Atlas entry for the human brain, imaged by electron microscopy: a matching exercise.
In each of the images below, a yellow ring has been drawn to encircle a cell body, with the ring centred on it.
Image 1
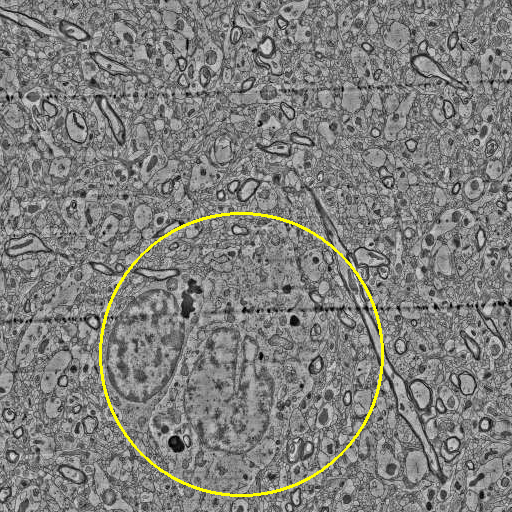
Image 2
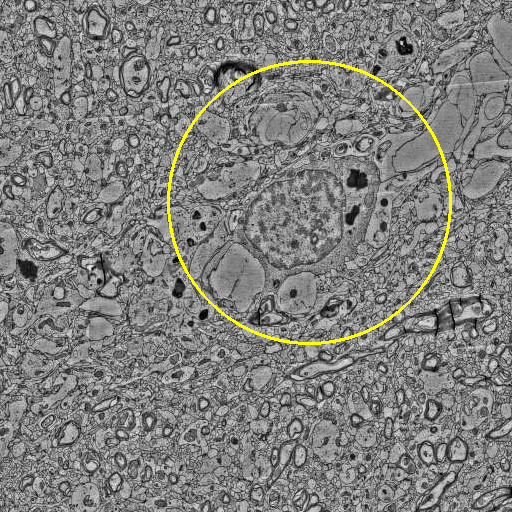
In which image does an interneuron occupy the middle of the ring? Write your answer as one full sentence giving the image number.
In image 1, the ring is centred on the cell in question.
